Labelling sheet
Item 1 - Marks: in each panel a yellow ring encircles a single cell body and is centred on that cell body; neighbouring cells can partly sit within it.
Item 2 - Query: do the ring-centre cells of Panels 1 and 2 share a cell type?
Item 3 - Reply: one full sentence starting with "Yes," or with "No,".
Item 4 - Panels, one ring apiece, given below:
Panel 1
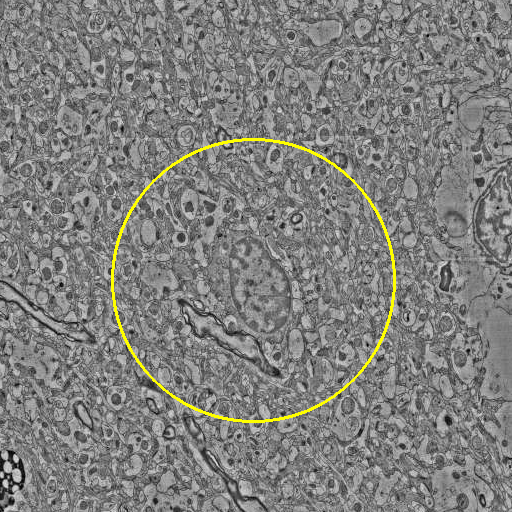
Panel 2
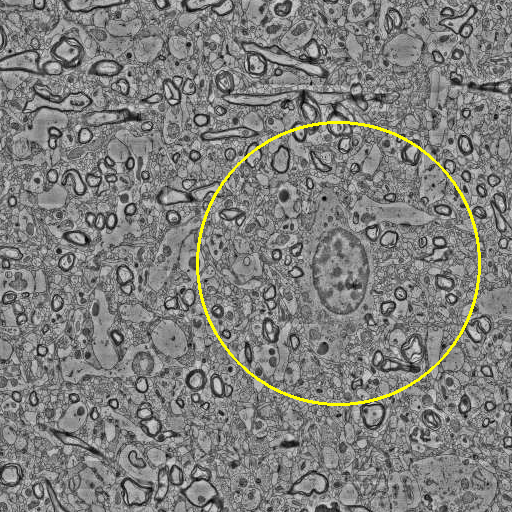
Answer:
Yes, Panel 1 and Panel 2 show one cell type at the centres of their rings.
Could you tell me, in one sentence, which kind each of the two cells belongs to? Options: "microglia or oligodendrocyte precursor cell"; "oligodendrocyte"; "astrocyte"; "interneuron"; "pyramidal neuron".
The second cell is an oligodendrocyte, just as the first is.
